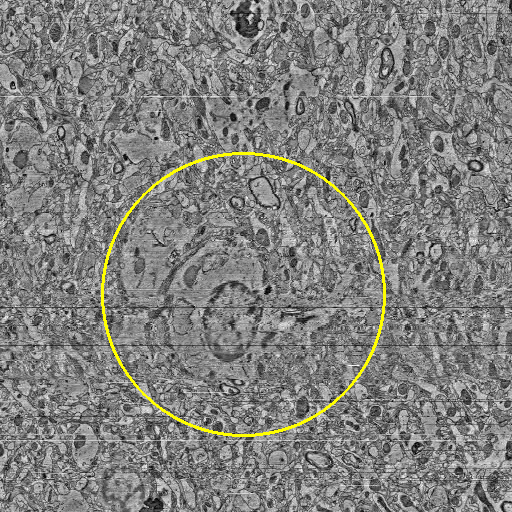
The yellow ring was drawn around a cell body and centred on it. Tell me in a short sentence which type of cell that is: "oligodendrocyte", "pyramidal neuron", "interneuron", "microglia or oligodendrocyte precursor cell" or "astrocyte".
The cell at the ring's centre is an astrocyte.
